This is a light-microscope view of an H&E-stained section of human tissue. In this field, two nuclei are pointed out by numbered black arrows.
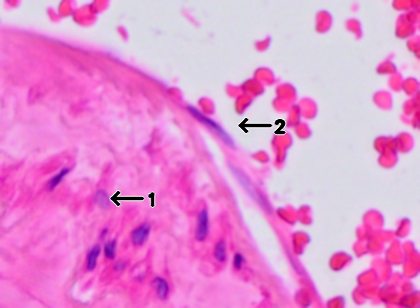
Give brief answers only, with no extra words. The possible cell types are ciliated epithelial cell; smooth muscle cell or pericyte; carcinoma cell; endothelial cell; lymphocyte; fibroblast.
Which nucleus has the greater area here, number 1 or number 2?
2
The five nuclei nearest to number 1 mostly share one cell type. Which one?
smooth muscle cell or pericyte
